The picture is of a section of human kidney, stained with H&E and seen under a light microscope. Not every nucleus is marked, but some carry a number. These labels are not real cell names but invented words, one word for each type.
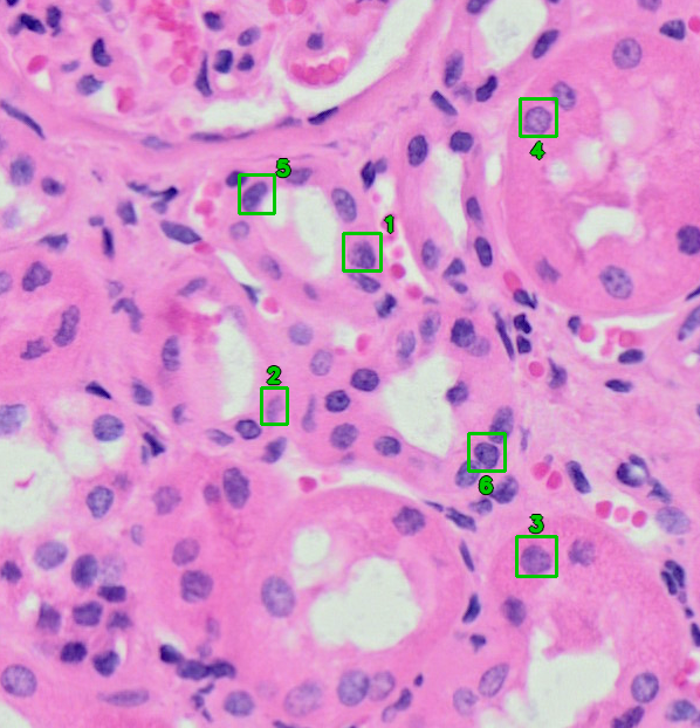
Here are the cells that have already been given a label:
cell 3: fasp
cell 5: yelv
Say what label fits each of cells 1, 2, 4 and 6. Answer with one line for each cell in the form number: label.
1: yelv
2: yelv
4: fasp
6: yelv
